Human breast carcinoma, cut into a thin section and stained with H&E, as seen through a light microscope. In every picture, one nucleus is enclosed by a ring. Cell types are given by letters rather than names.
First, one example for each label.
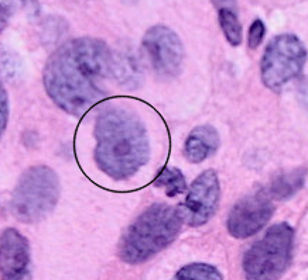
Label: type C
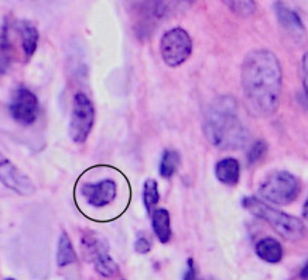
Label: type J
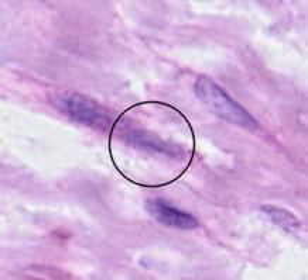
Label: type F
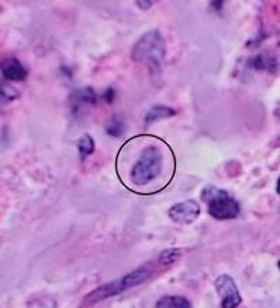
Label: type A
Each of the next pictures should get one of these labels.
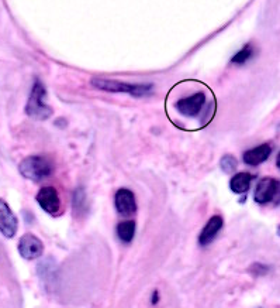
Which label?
type J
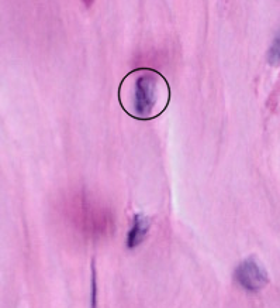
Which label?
type F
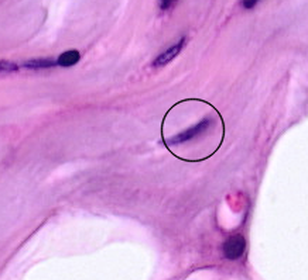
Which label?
type F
